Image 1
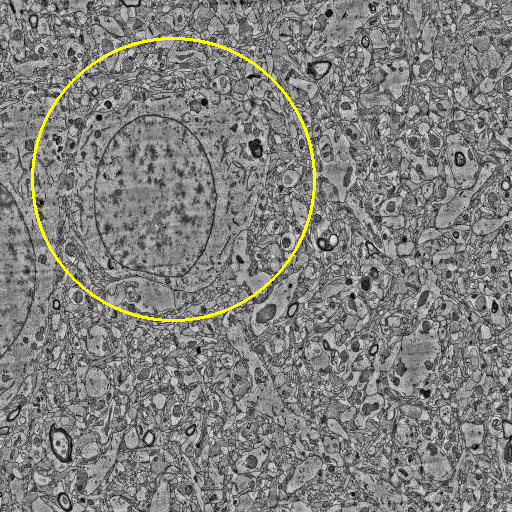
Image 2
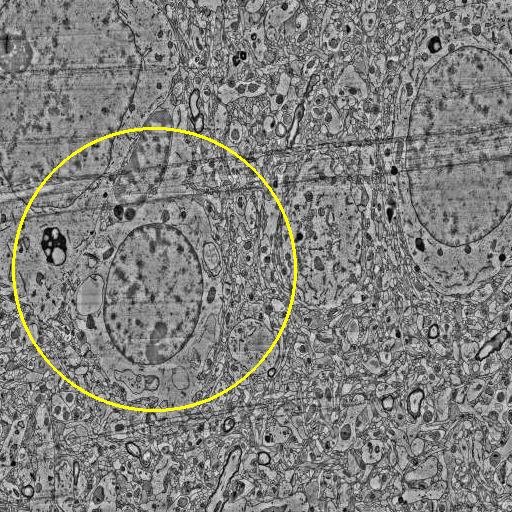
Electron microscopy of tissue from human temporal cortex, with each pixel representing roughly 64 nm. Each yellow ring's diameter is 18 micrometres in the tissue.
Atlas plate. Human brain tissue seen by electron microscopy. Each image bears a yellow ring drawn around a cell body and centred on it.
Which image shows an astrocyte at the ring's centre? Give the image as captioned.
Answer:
Image 2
